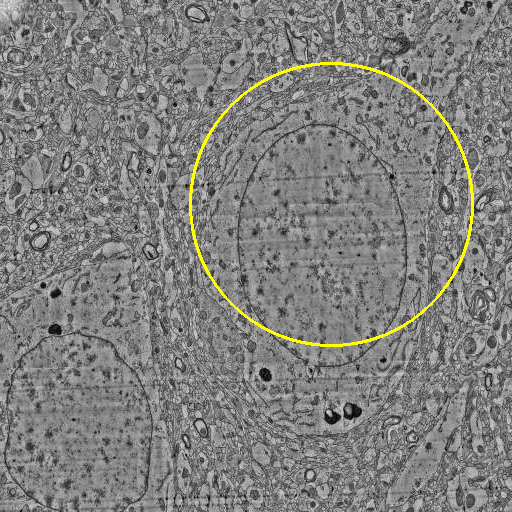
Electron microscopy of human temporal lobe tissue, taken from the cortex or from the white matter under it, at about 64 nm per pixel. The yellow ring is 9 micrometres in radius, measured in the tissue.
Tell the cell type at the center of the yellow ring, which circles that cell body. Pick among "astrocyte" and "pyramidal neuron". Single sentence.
The ring is centered on the body of a pyramidal neuron.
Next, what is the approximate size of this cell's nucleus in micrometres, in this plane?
About 16 by 11 micrometers, in this plane.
